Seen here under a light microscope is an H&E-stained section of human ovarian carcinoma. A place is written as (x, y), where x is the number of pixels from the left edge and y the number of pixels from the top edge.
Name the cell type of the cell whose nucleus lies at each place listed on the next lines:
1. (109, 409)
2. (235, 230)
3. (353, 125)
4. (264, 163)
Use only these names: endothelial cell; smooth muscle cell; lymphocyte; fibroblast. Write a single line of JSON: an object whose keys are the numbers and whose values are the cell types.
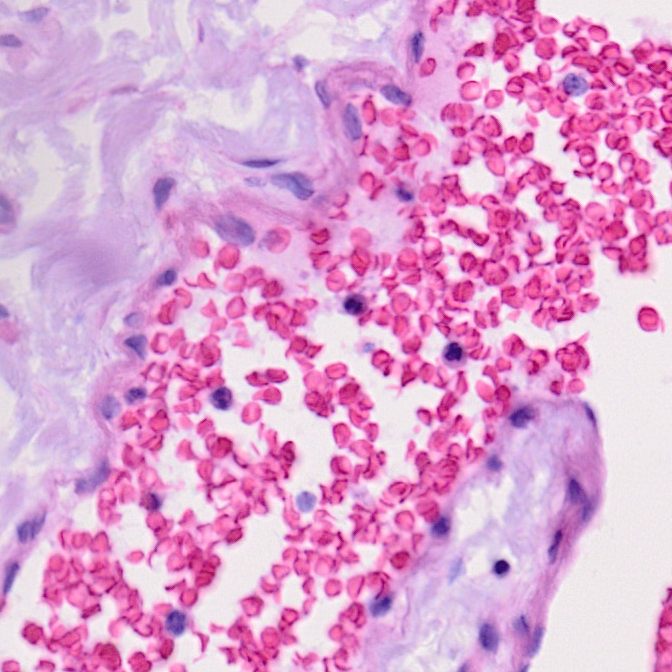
{"1": "endothelial cell", "2": "endothelial cell", "3": "endothelial cell", "4": "fibroblast"}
